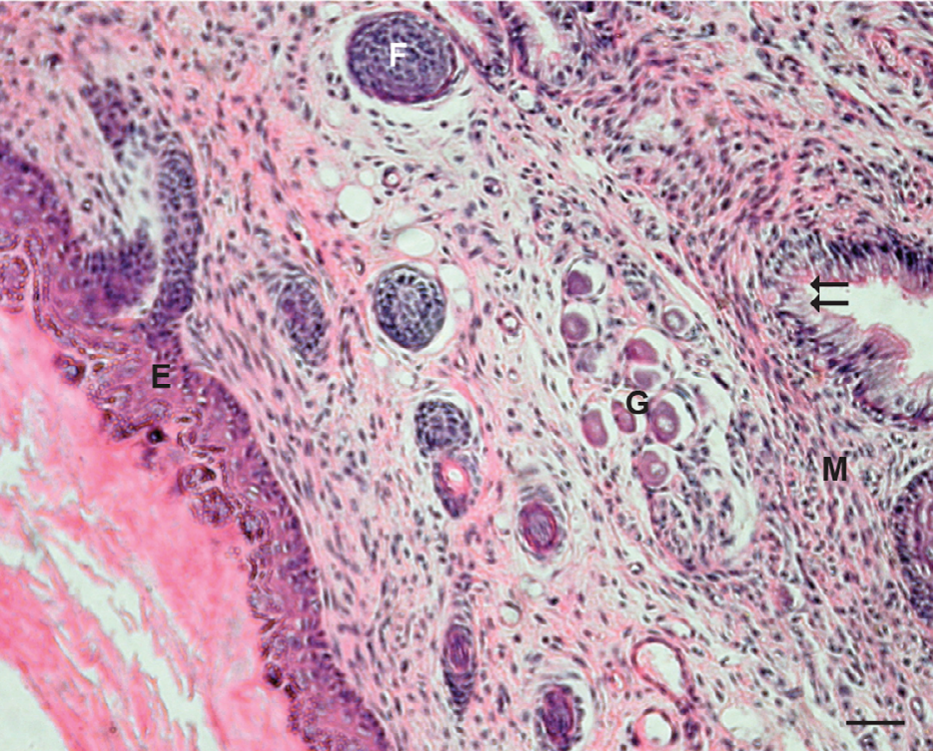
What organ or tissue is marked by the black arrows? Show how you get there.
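A tall epithelium lines a clear lumen on the right.
Conclusion: pseudostratified columnar epithelium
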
